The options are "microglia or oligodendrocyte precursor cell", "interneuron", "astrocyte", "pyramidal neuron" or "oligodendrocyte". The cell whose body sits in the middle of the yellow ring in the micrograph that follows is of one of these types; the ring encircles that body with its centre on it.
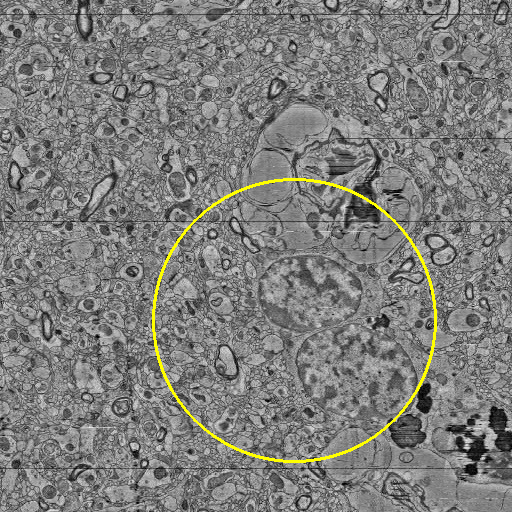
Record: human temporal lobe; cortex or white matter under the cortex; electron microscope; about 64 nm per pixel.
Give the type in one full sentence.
Going by the micrograph, the cell centred in the yellow ring is an oligodendrocyte.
